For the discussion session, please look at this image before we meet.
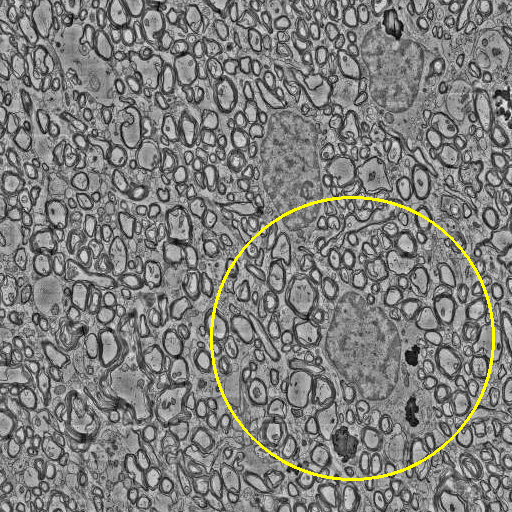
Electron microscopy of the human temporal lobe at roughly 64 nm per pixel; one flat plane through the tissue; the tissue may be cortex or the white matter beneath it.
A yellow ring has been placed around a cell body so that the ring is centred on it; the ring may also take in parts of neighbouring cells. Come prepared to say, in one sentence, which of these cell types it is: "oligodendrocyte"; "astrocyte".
The cell centred in the ring is an oligodendrocyte.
